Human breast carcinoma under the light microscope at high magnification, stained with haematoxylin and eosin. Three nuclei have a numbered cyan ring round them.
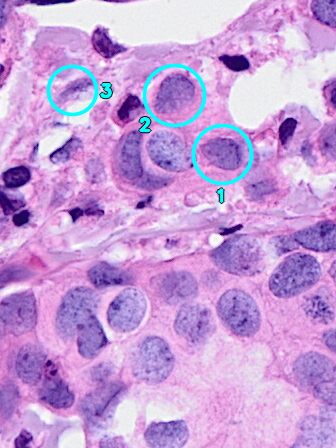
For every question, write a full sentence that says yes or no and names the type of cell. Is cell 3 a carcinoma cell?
No, cell 3 does not count as a carcinoma cell; it is a fibroblast.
